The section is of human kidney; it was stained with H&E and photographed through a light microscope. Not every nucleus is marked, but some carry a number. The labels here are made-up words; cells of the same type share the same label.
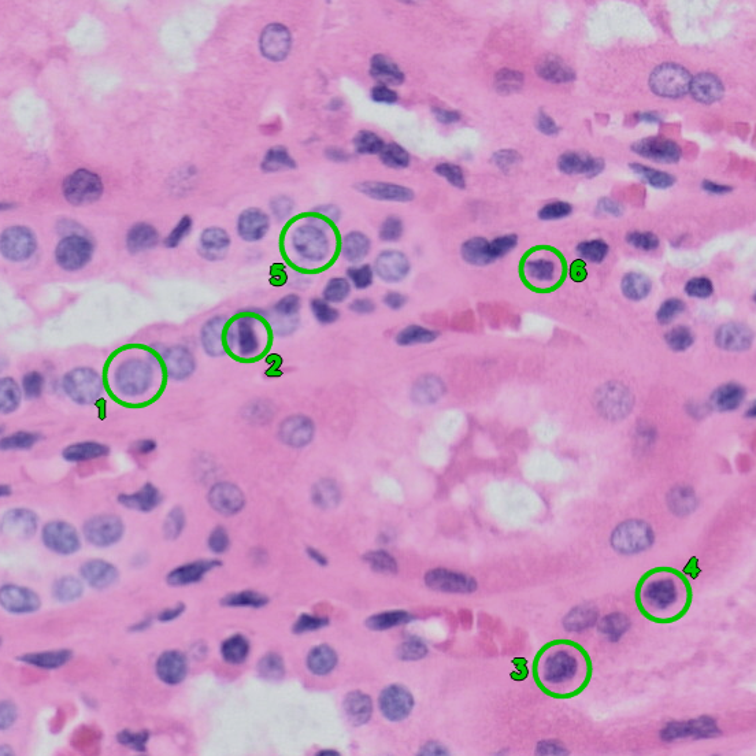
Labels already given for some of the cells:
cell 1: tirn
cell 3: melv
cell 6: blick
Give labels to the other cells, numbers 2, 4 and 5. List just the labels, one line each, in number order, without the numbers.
tirn
melv
tirn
